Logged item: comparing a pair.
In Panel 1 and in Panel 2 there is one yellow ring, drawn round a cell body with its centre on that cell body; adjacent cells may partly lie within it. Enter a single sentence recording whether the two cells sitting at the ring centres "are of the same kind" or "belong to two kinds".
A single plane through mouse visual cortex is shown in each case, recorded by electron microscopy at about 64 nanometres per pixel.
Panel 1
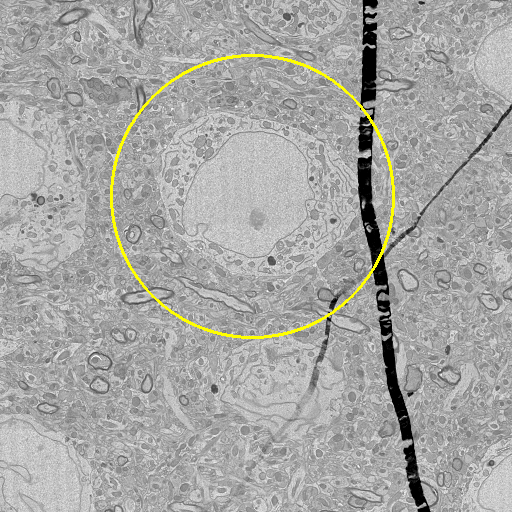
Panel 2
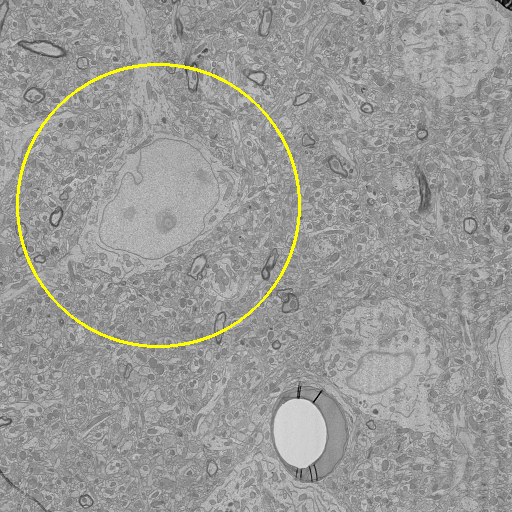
Logged: the cells centred in the rings of Panel 1 and Panel 2 belong to two kinds.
